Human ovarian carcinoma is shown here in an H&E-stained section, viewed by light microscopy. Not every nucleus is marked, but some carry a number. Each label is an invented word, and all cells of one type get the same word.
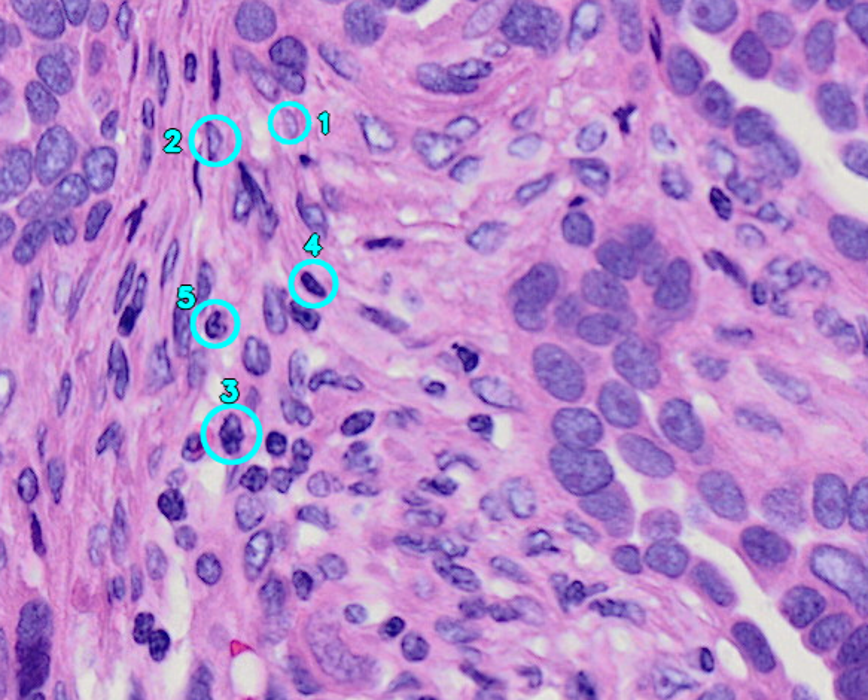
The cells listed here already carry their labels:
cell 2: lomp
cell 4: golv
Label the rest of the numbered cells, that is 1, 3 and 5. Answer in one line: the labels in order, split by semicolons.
lomp; golv; golv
